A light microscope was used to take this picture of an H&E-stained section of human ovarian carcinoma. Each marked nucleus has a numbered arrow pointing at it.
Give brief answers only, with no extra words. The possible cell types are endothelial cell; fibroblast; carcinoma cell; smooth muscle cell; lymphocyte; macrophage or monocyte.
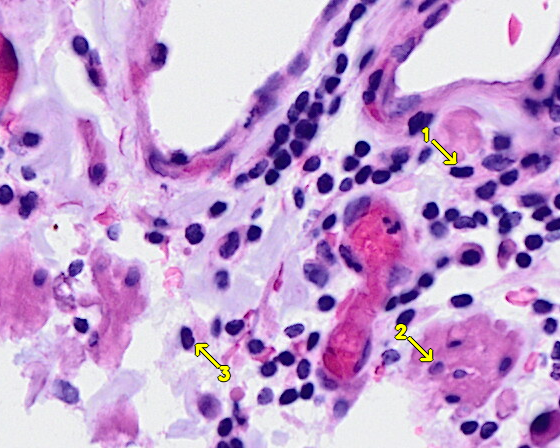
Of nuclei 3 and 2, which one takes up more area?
3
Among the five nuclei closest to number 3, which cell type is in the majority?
lymphocyte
